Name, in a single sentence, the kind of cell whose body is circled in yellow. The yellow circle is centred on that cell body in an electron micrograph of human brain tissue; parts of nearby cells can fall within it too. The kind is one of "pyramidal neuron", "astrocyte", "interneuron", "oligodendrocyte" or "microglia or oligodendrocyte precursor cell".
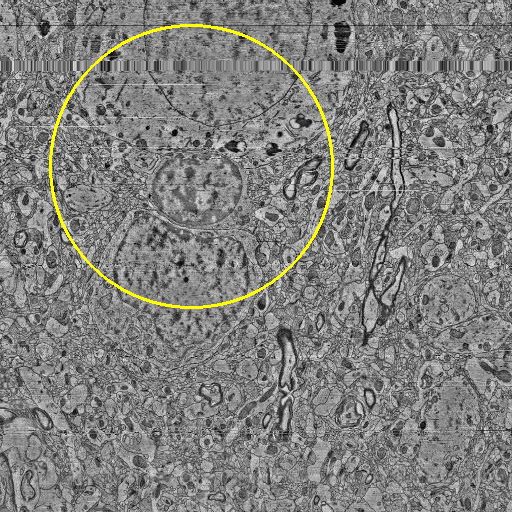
The circled cell body belongs to an oligodendrocyte.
